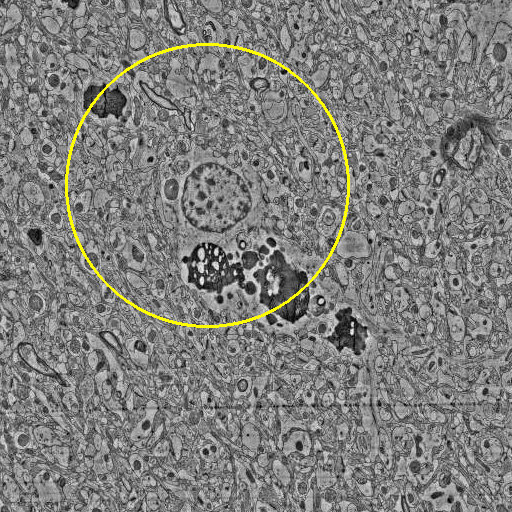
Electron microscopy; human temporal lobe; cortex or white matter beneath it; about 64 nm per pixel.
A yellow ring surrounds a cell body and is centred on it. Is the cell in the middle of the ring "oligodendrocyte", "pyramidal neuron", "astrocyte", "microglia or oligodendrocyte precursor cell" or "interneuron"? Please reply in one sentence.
The ring is centred on an astrocyte.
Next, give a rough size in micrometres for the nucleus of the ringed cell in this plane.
About 4 micrometers across, in this plane.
